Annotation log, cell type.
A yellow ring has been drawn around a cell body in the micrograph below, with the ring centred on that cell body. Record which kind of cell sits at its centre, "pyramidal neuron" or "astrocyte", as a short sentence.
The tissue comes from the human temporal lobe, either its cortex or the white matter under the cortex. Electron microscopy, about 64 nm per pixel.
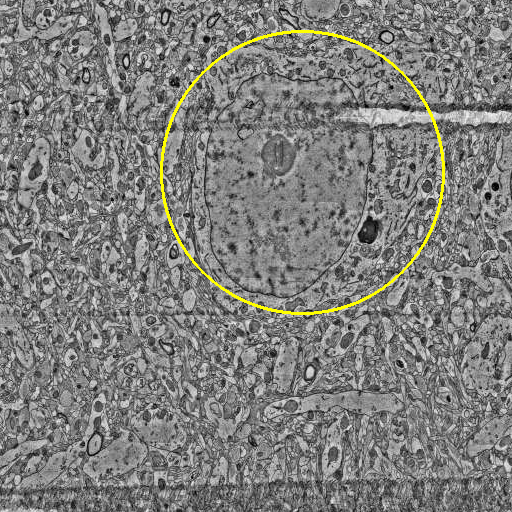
The cell at the centre of this ring is a pyramidal neuron.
